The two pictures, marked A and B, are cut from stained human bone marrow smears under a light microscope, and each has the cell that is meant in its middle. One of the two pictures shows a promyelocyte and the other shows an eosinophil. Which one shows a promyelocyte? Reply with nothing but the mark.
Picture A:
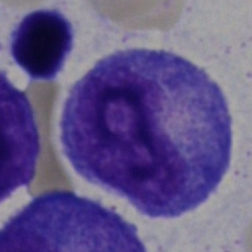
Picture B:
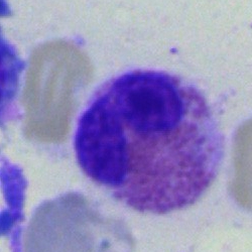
A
